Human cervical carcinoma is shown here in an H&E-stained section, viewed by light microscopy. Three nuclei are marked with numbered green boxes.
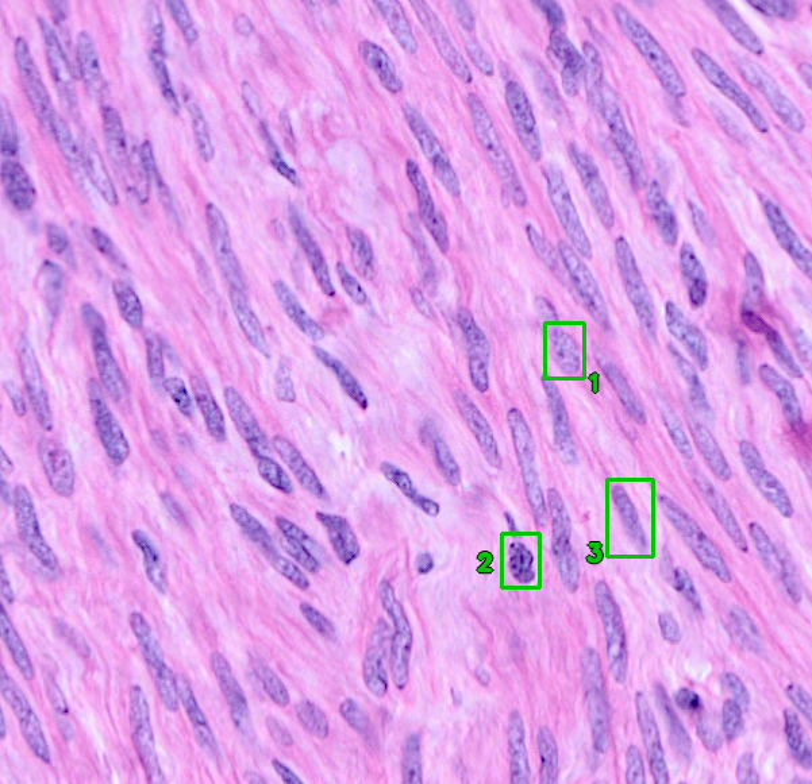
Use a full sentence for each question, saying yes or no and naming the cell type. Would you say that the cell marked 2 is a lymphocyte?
Yes, the cell shown as number 2 is a lymphocyte.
